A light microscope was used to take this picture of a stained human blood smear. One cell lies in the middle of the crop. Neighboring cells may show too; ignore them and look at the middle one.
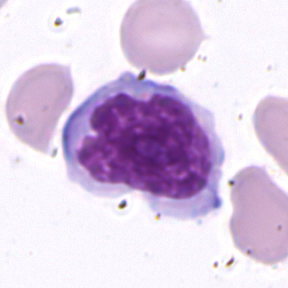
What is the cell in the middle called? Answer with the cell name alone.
plasma cell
